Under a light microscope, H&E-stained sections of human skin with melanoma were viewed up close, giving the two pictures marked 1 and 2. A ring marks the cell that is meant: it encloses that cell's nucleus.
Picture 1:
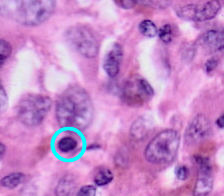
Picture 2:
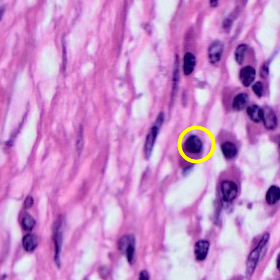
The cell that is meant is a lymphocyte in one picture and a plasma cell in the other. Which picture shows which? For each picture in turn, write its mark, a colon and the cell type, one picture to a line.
1: lymphocyte
2: plasma cell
